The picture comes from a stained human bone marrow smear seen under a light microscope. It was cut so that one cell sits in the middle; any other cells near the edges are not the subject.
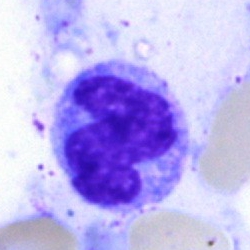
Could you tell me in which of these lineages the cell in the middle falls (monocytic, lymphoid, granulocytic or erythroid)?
monocytic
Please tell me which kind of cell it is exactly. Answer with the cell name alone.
monocyte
